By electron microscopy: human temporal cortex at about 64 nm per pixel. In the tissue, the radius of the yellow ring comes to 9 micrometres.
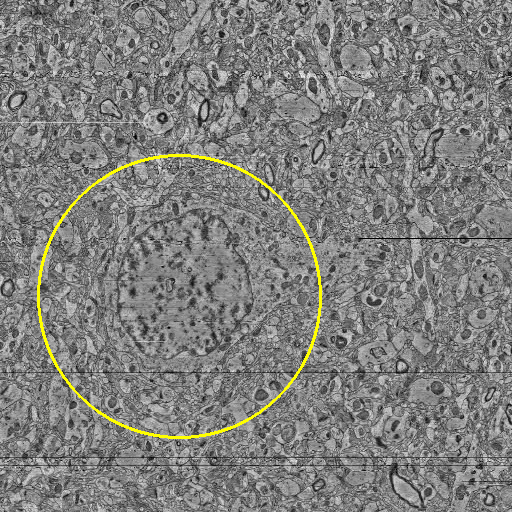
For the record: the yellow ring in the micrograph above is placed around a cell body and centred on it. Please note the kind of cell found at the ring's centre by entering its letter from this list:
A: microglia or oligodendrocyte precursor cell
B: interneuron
B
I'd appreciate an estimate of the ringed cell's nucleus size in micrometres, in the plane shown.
About 9 micrometres across in this plane.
